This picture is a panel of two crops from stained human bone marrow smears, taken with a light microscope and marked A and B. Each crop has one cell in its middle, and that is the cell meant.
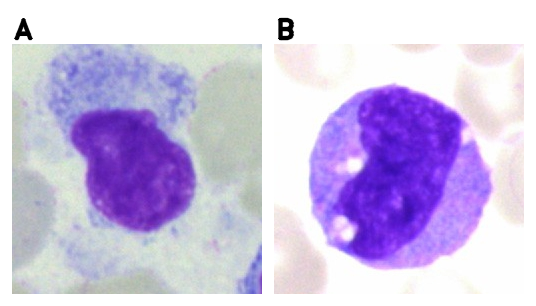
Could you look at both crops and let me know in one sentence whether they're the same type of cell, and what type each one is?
No, in crop B the central cell is a monocyte, and in crop A it is a hairy cell.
